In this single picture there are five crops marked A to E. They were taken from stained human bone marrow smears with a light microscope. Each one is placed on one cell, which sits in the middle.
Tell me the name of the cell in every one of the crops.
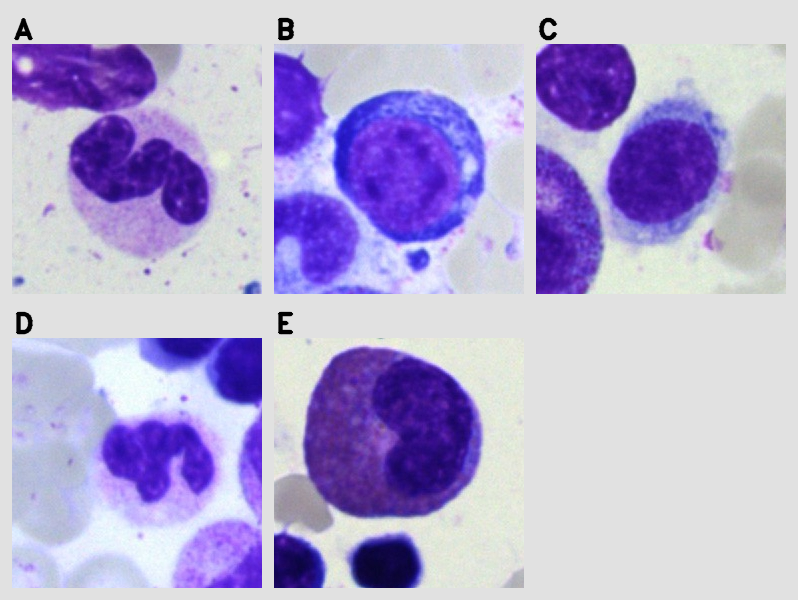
A: neutrophil
B: proerythroblast
C: hairy cell
D: neutrophil
E: eosinophil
